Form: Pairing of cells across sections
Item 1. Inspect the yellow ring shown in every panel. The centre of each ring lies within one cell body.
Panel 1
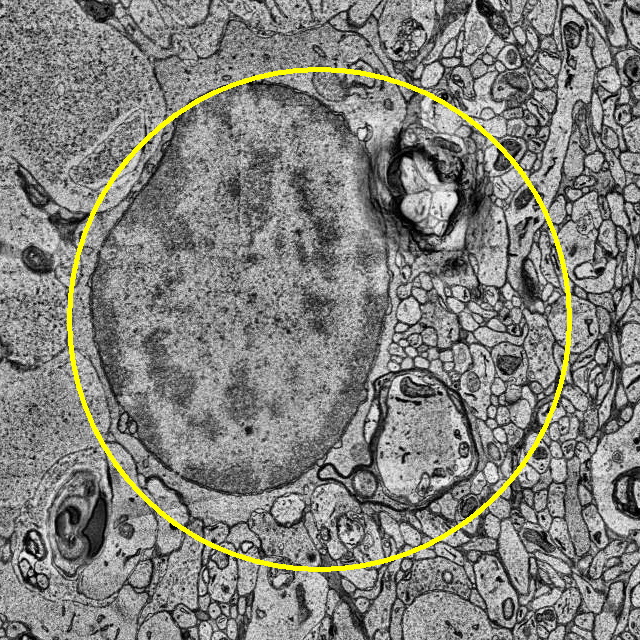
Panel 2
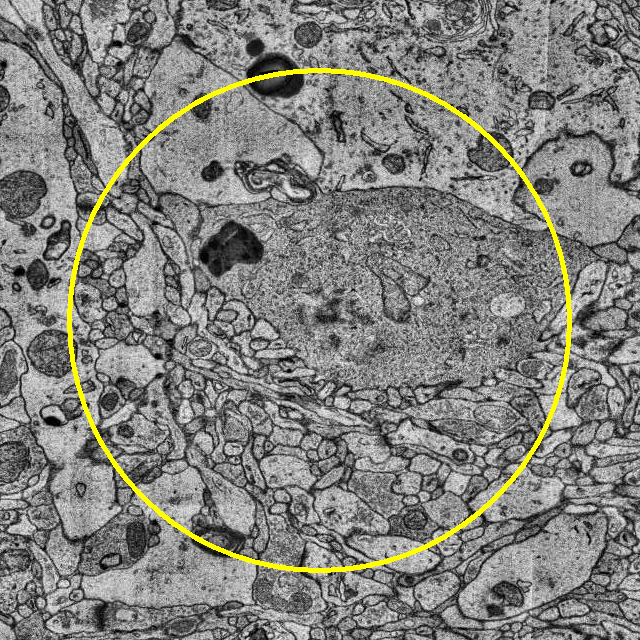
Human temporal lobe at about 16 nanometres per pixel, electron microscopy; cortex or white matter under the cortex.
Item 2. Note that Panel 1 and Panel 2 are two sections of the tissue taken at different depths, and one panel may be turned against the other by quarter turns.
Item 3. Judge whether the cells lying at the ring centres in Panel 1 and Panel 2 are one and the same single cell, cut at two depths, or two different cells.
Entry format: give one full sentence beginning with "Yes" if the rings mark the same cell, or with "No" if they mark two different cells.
No, the two rings are not on the same cell.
